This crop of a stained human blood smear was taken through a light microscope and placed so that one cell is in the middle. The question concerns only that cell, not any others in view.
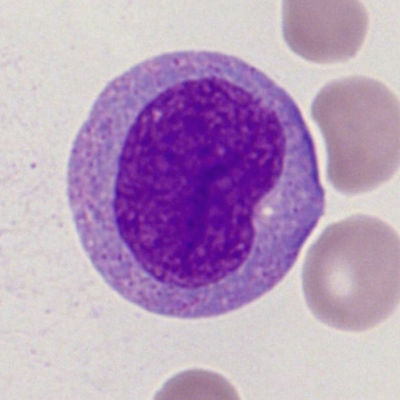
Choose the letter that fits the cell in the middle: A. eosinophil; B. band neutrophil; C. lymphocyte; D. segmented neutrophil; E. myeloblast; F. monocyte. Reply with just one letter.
E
